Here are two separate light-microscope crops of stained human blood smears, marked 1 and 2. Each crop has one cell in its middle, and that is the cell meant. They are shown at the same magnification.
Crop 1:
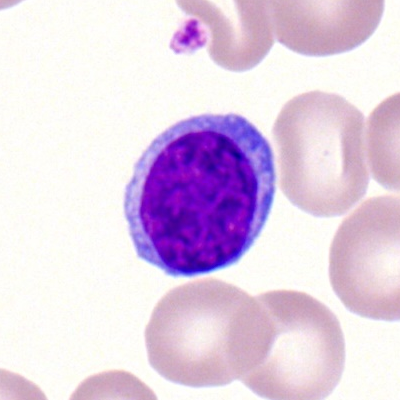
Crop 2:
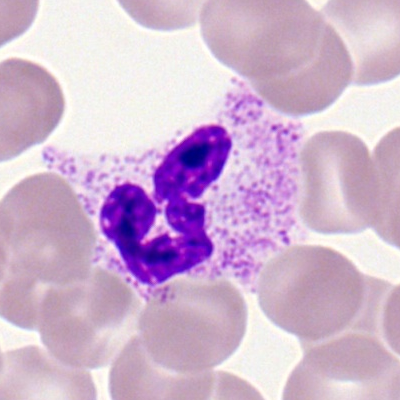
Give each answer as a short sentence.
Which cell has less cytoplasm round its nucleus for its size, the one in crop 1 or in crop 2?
It is the cell in crop 1 that is filled more by its nucleus.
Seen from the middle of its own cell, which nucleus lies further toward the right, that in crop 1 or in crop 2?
In crop 1 the nucleus is shifted more toward the right.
